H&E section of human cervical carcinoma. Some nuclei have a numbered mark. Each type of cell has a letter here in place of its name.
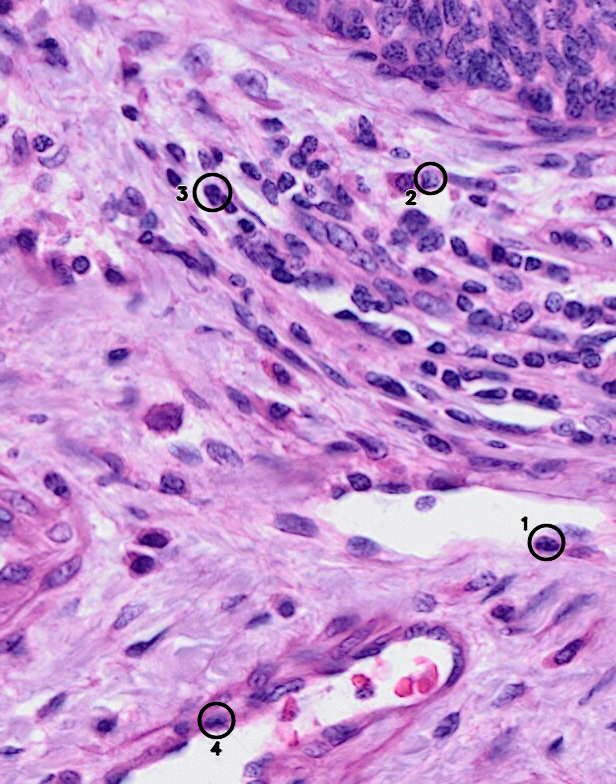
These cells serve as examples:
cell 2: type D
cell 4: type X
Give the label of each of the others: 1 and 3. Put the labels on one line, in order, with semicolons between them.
type D; type D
